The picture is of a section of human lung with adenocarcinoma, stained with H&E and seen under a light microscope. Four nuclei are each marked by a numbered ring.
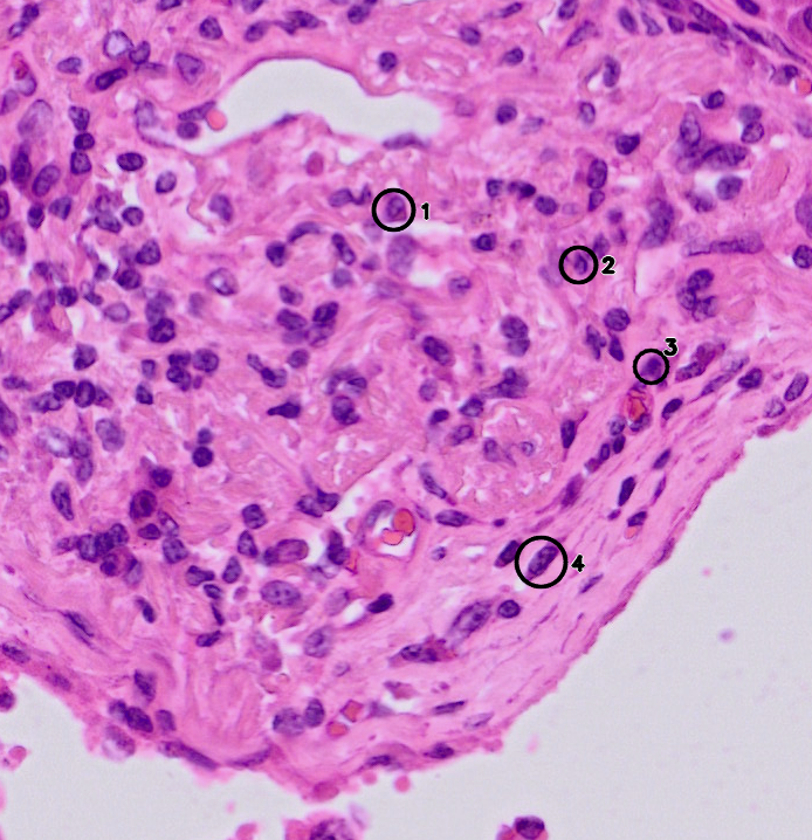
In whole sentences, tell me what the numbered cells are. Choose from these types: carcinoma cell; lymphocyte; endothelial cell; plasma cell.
Cell 1 is a plasma cell, cell 2 is a lymphocyte, cell 3 is a plasma cell and cell 4 is a plasma cell.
